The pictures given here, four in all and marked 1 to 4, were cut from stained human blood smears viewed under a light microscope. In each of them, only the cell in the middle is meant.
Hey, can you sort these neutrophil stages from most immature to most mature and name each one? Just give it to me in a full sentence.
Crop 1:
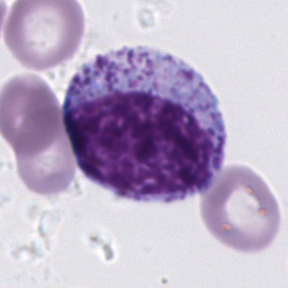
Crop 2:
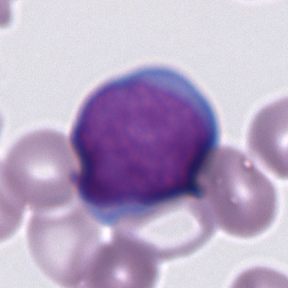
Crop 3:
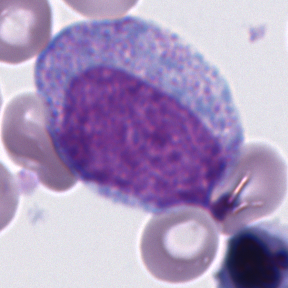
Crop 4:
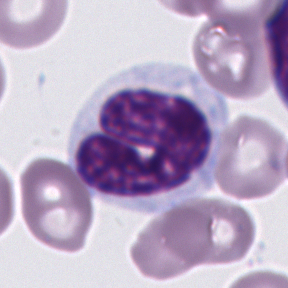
From earliest to most mature stage, the crops go crop 2 (a blast), crop 3 (a promyelocyte), crop 1 (a myelocyte) and crop 4 (a band neutrophil).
